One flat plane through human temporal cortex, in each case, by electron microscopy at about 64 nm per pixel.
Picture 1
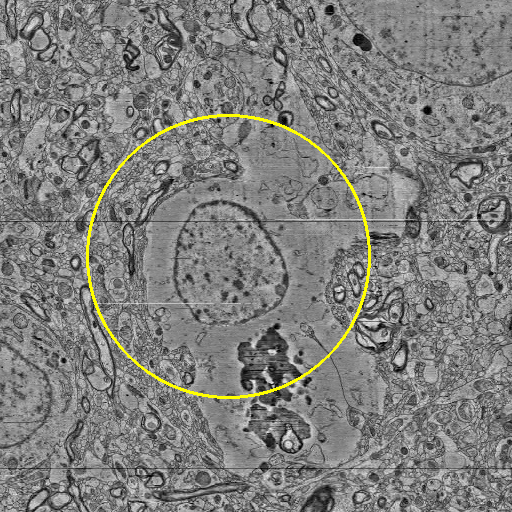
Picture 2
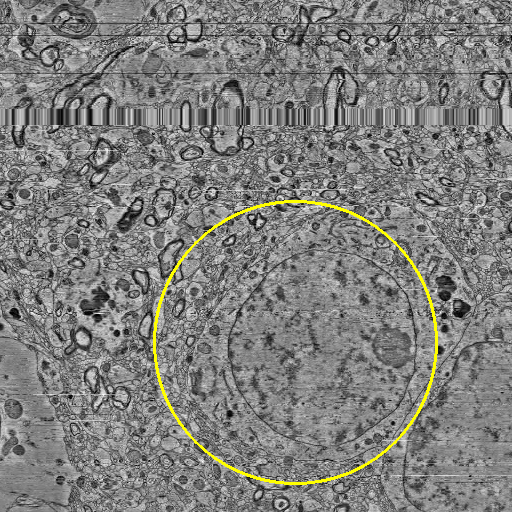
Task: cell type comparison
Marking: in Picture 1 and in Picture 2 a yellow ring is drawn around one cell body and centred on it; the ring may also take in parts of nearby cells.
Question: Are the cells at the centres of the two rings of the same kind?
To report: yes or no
no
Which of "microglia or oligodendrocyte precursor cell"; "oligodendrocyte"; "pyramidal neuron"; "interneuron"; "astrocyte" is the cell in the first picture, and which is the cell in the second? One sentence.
The two differ: the first cell is an astrocyte and the second is a pyramidal neuron.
